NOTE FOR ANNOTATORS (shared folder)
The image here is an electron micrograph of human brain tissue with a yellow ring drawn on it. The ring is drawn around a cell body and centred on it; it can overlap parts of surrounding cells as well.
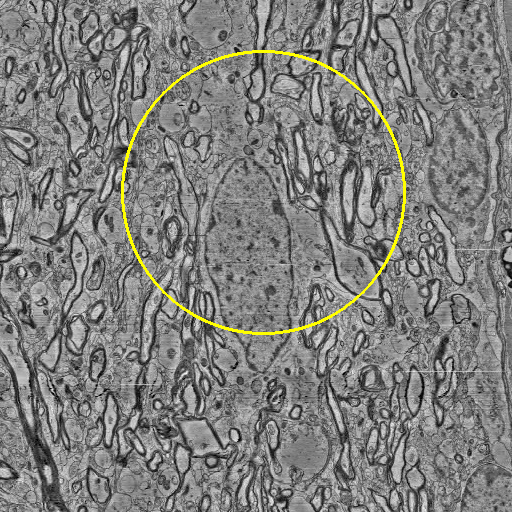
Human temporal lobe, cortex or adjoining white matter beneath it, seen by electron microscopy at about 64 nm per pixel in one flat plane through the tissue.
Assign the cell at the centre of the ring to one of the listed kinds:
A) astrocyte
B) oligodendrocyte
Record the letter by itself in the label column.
A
